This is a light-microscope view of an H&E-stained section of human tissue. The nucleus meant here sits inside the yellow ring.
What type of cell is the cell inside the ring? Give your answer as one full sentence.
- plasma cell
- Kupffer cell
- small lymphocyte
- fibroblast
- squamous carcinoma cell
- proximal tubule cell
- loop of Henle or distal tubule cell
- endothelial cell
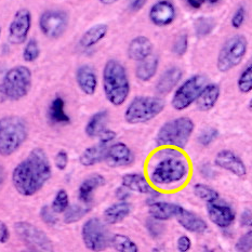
Labelled by cell type, the cell inside the ring is a squamous carcinoma cell.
